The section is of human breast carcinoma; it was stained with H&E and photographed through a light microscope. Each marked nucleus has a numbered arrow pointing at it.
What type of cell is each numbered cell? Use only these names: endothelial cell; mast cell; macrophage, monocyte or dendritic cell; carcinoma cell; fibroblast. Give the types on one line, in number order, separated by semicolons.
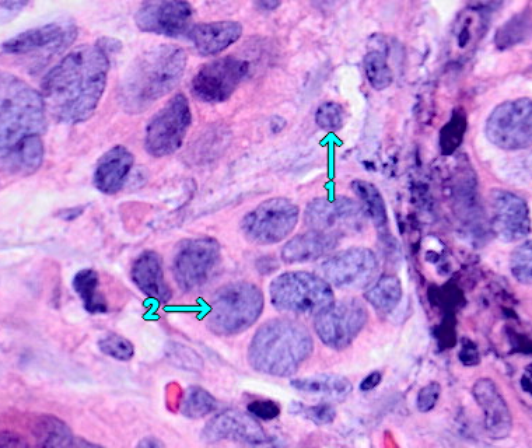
macrophage, monocyte or dendritic cell; carcinoma cell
